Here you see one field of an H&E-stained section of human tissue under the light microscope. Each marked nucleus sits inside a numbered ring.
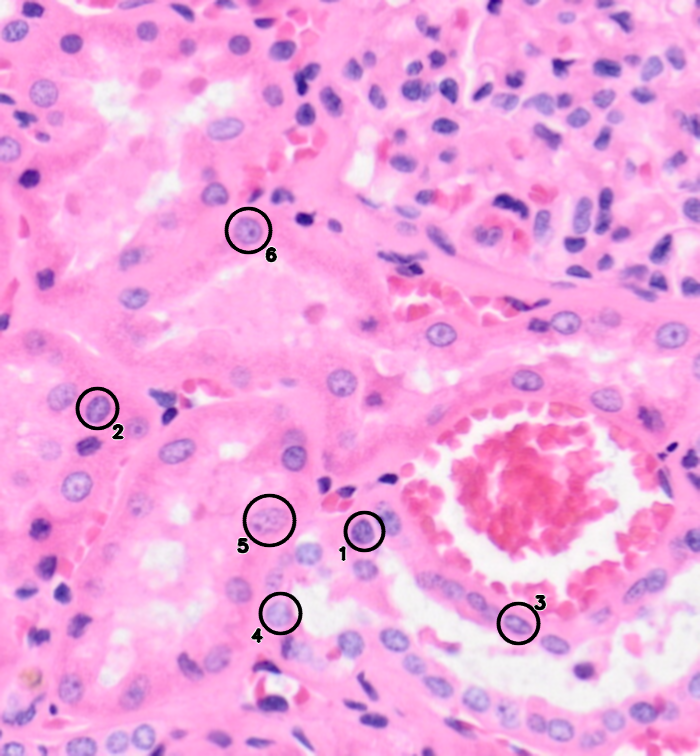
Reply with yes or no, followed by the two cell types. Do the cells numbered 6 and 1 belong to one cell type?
No, cell 6 is a proximal tubule cell and cell 1 is a collecting duct cell.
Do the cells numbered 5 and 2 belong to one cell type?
Yes, both are proximal tubule cells.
